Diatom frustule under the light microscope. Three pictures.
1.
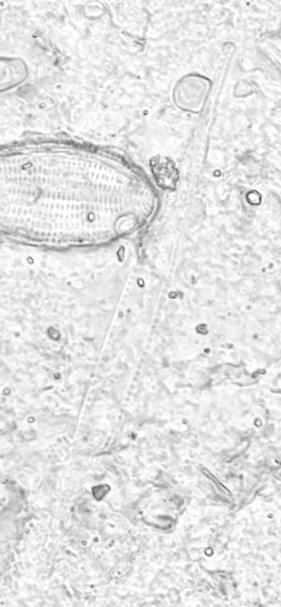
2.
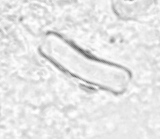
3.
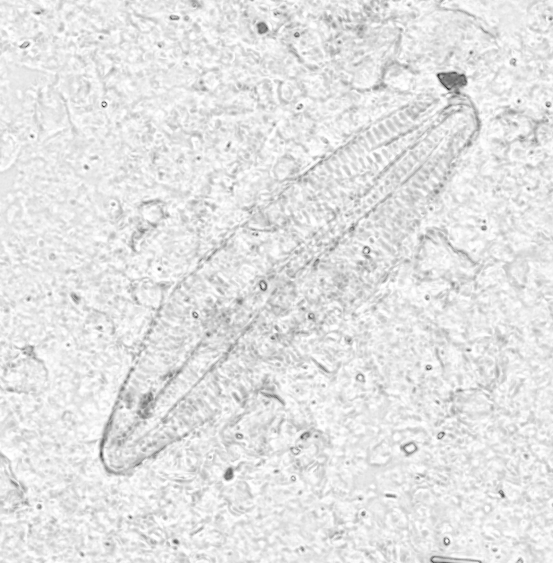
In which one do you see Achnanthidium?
In picture 2.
